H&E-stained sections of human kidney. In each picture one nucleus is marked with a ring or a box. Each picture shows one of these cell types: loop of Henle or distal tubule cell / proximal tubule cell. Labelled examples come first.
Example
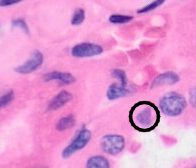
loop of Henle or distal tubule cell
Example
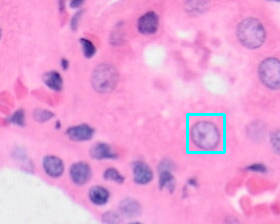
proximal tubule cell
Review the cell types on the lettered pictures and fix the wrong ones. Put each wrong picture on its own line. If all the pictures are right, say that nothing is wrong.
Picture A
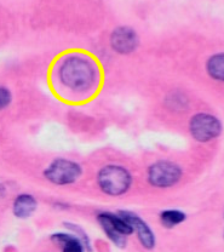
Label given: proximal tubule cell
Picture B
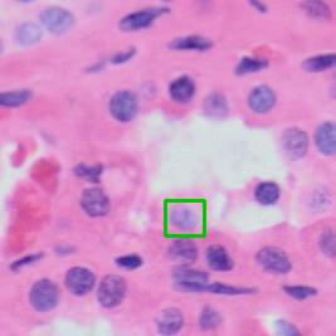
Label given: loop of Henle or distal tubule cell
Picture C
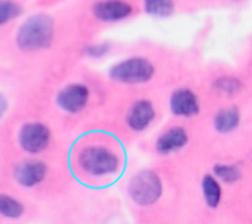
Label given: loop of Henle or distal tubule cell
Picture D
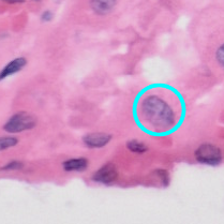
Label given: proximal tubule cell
Every label is right.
